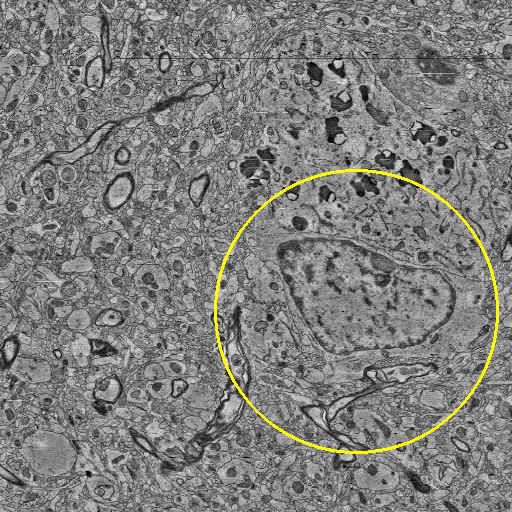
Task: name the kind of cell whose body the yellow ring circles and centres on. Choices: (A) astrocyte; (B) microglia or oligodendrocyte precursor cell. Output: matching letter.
B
